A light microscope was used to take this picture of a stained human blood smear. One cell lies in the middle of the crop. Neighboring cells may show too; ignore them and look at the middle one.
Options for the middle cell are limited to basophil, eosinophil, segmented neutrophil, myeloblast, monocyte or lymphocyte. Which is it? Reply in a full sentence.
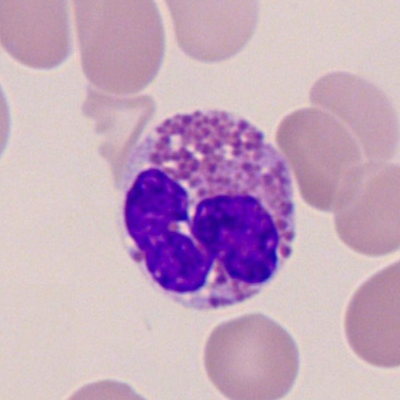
The cell sitting right in the middle is an eosinophil.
